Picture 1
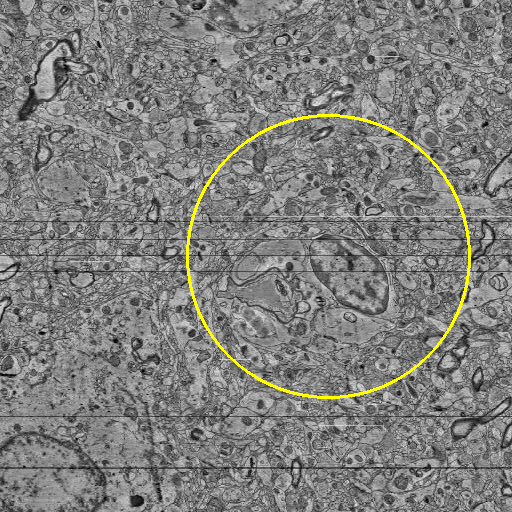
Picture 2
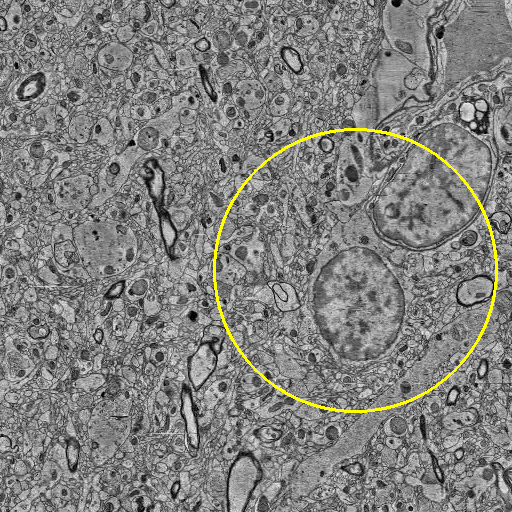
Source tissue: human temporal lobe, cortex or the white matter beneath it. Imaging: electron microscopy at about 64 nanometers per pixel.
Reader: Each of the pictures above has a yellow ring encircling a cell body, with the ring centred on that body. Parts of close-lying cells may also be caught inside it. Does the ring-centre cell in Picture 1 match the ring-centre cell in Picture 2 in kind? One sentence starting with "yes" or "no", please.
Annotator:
No, Picture 1 and Picture 2 show ring-centre cells of two kinds.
